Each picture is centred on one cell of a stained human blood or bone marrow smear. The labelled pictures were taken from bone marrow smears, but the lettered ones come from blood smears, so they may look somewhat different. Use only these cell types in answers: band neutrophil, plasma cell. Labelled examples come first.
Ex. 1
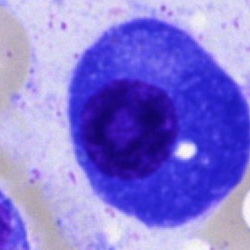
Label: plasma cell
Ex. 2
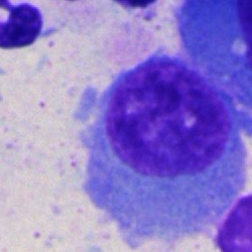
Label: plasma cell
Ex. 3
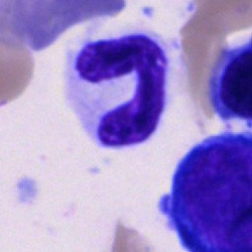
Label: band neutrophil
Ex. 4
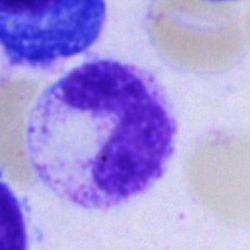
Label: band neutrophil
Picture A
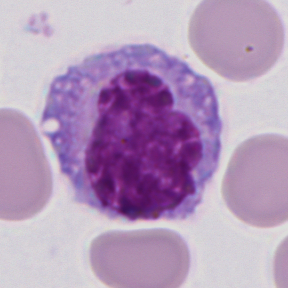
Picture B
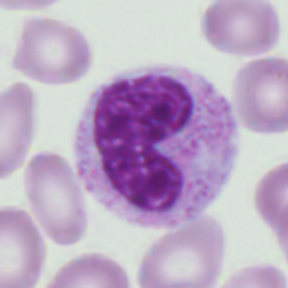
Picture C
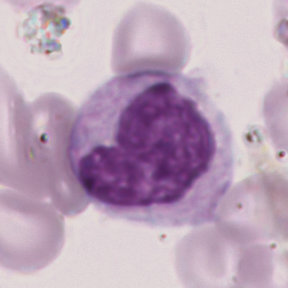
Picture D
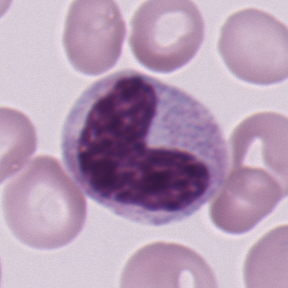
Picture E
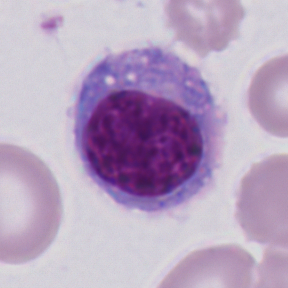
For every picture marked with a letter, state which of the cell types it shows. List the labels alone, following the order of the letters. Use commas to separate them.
plasma cell, band neutrophil, band neutrophil, band neutrophil, plasma cell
